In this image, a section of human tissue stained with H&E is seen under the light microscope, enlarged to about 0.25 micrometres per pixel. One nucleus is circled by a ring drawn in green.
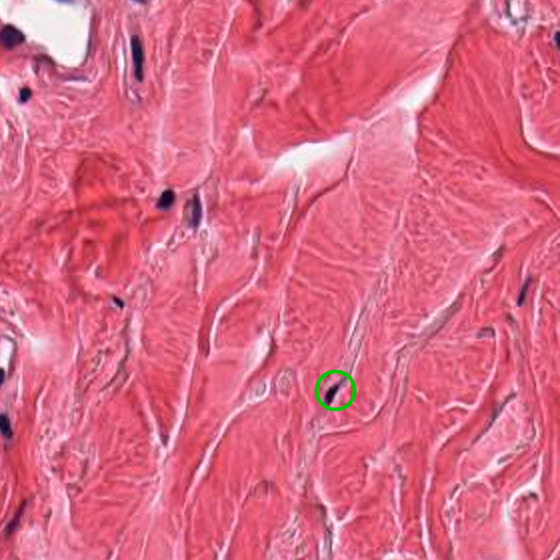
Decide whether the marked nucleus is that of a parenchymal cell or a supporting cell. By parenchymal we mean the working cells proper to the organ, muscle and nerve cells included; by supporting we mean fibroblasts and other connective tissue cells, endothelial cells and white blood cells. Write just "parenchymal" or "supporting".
supporting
